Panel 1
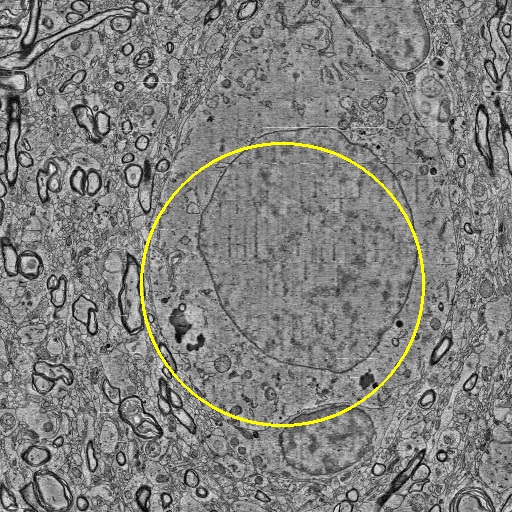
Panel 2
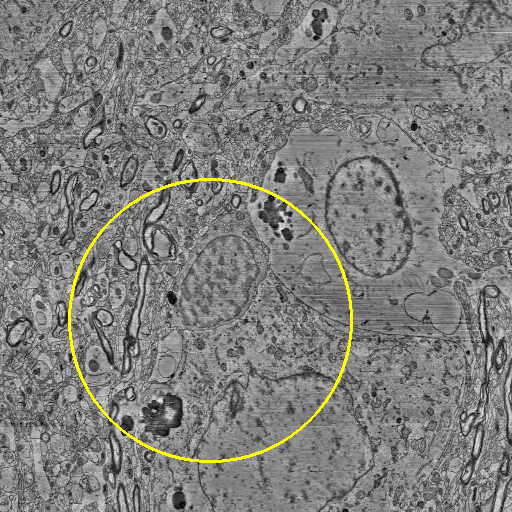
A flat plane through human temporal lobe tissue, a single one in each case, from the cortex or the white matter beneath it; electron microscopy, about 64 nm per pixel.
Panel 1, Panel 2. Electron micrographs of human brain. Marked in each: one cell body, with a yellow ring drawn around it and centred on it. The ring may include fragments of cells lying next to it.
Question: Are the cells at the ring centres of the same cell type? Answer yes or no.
no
